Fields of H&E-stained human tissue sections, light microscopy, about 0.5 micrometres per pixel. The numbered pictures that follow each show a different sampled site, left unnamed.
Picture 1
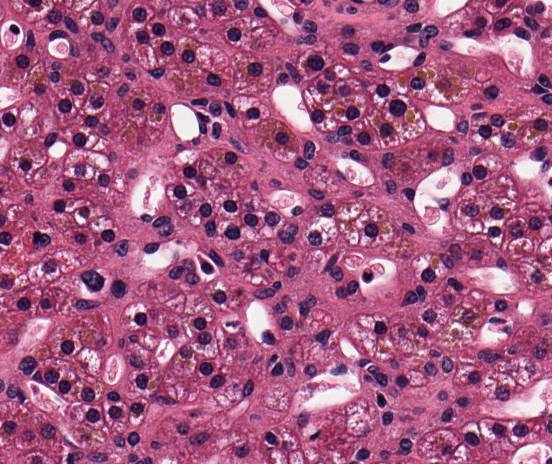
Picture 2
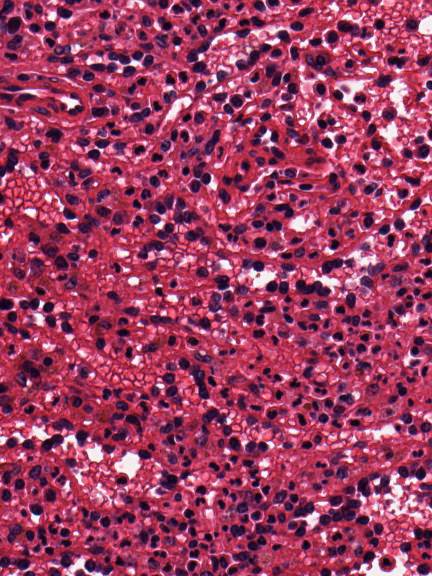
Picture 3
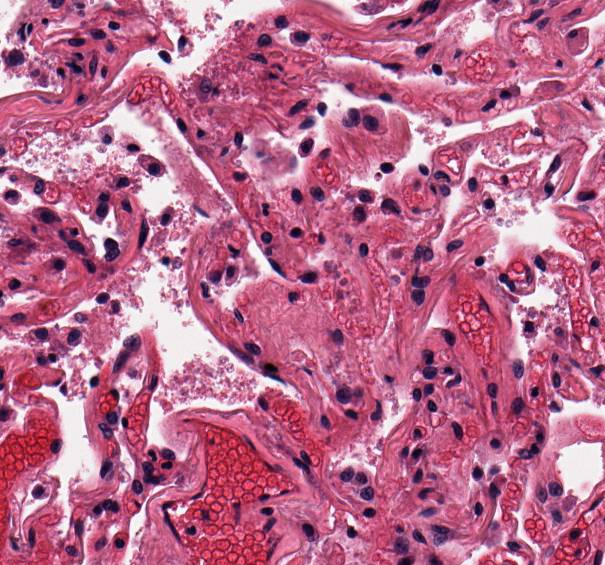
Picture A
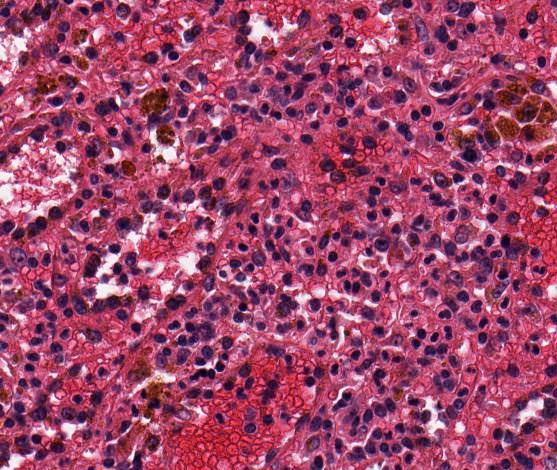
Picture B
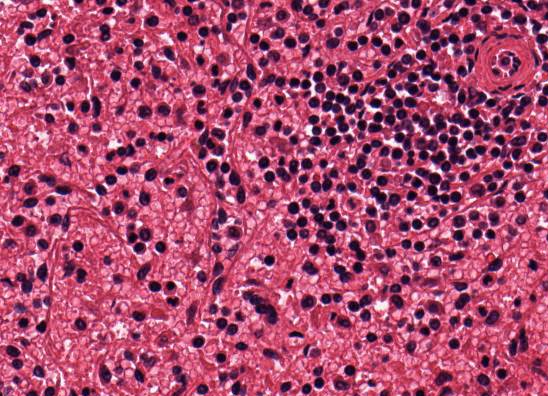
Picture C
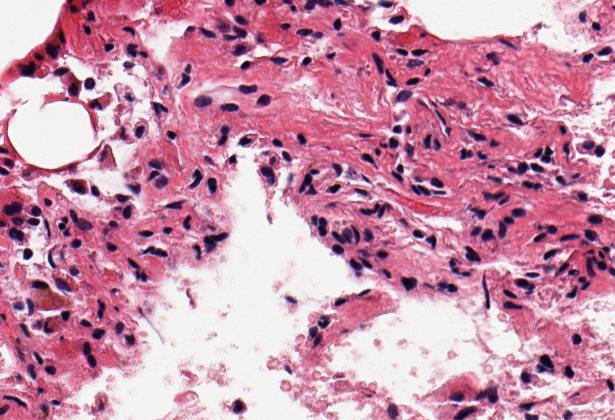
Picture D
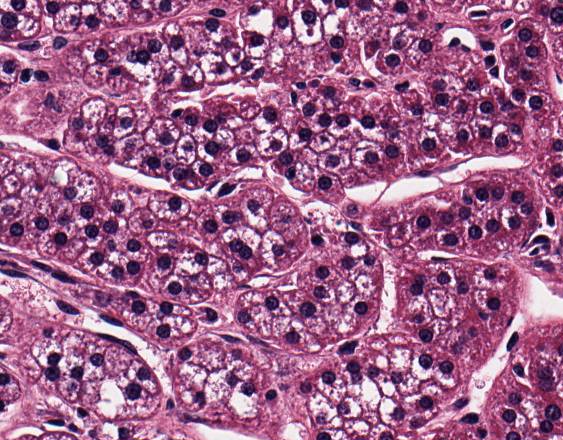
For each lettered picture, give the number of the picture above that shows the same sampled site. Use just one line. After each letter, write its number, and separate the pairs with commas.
A 2, B 2, C 3, D 1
